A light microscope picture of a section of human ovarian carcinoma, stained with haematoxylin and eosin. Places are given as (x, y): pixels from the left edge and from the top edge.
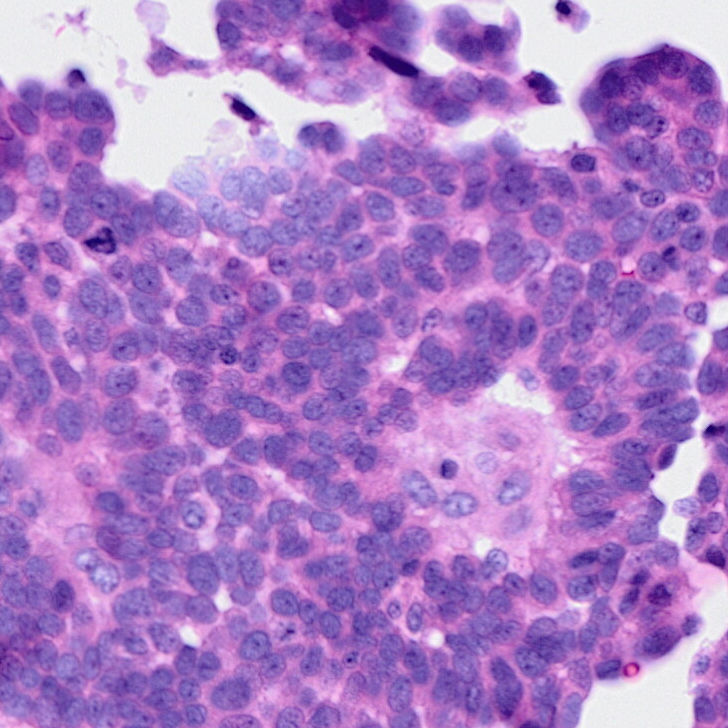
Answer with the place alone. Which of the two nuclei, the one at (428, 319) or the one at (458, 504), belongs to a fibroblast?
(458, 504)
